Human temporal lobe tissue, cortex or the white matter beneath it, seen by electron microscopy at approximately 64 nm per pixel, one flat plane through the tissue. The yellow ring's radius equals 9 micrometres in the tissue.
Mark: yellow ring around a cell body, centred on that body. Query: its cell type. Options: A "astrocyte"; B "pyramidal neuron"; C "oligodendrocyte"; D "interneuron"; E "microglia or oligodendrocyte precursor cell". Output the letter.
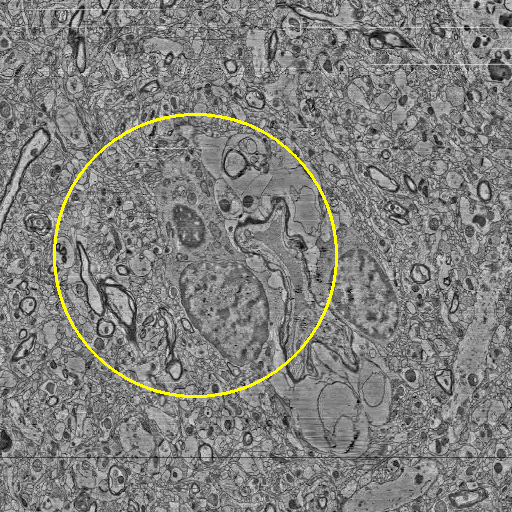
C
